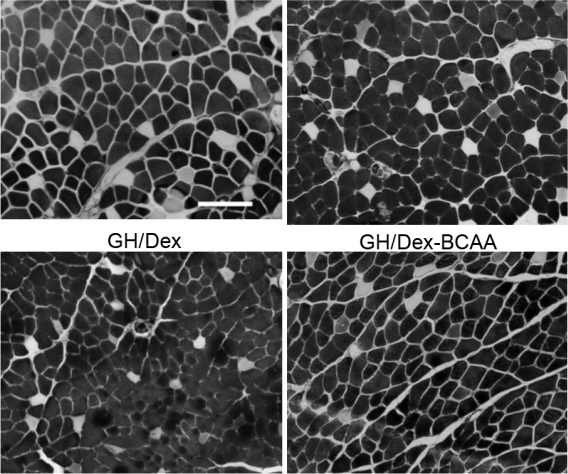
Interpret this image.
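Four cross-sections of skeletal muscle show many small polygonal muscle fibers cut transversely and packed into fascicles. Thin white septa of connective tissue outline each fiber and separate groups of fibers, and occasional small vessels lie in the wider septa.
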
